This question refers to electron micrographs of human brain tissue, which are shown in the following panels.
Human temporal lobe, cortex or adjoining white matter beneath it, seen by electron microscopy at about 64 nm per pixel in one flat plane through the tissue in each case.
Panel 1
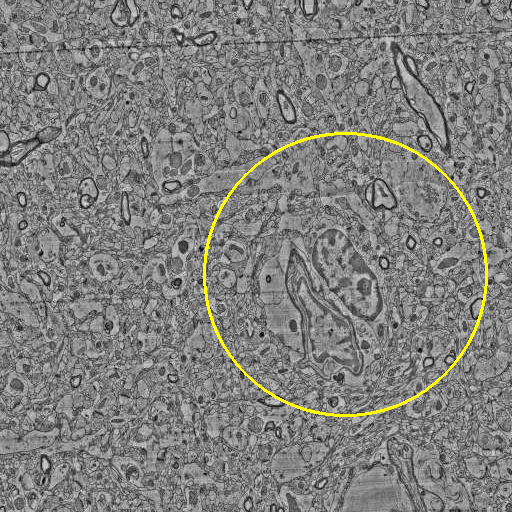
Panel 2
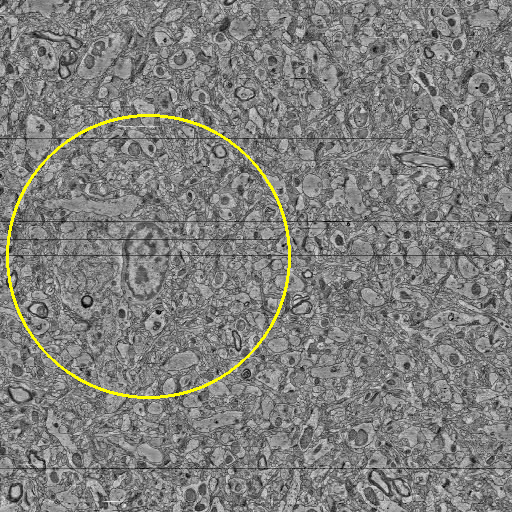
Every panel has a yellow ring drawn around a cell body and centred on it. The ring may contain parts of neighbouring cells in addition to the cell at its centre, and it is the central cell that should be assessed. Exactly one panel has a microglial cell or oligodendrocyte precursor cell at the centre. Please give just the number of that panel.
1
